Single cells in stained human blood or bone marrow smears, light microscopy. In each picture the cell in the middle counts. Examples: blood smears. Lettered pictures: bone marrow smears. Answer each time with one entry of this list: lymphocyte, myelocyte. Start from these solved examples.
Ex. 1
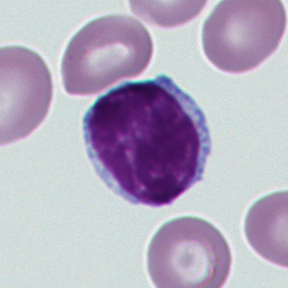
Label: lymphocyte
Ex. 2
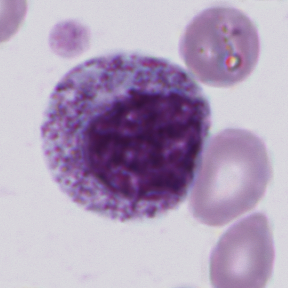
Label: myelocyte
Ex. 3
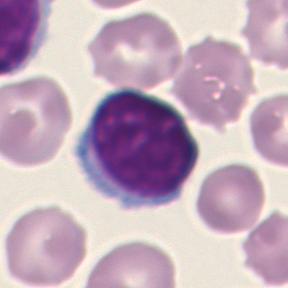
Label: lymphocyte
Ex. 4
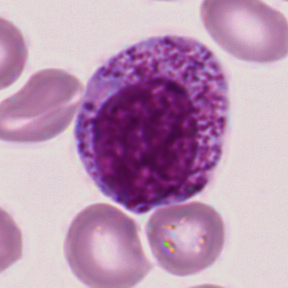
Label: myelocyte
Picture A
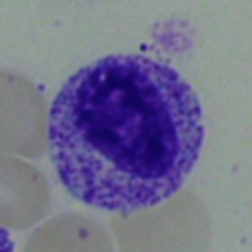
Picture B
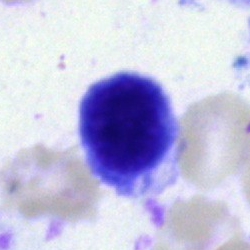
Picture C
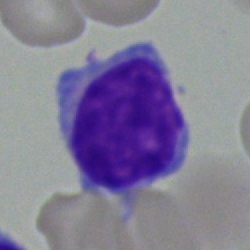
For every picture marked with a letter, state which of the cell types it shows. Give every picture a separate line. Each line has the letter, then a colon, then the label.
A: myelocyte
B: lymphocyte
C: lymphocyte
